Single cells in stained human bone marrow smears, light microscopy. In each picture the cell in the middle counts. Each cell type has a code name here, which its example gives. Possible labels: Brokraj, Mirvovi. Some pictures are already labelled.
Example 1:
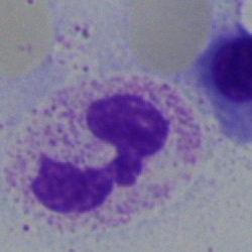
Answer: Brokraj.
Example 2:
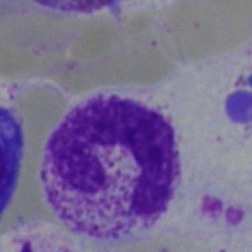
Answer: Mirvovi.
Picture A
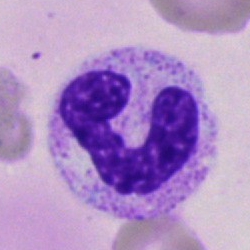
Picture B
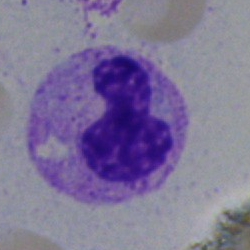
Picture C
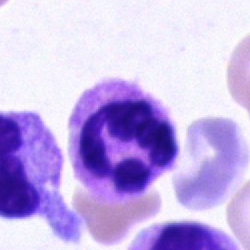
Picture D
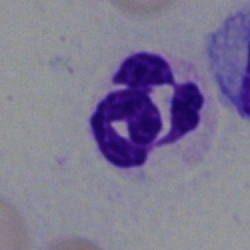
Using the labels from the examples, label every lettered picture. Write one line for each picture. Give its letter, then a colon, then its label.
A: Brokraj.
B: Brokraj.
C: Brokraj.
D: Brokraj.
